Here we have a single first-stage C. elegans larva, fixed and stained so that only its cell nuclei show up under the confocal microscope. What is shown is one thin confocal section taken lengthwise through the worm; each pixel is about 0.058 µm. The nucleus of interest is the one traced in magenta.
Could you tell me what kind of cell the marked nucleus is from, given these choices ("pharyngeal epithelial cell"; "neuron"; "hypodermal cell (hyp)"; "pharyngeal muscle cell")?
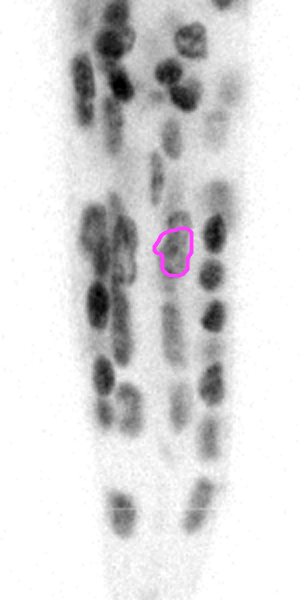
pharyngeal muscle cell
